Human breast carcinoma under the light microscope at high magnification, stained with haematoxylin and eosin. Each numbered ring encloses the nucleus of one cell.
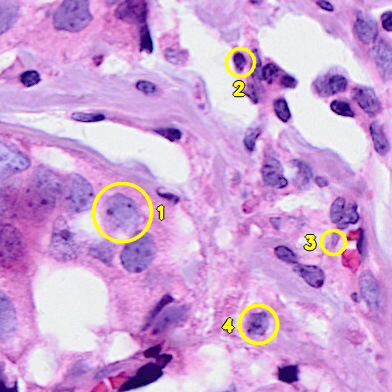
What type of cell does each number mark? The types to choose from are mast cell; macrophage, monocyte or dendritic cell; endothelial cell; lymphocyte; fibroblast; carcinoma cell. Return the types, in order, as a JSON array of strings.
["carcinoma cell", "lymphocyte", "endothelial cell", "macrophage, monocyte or dendritic cell"]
